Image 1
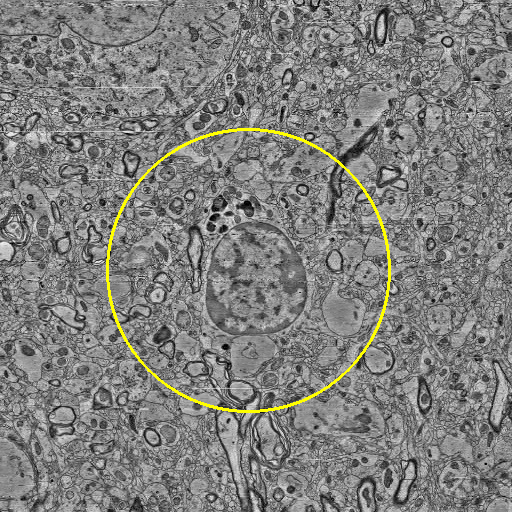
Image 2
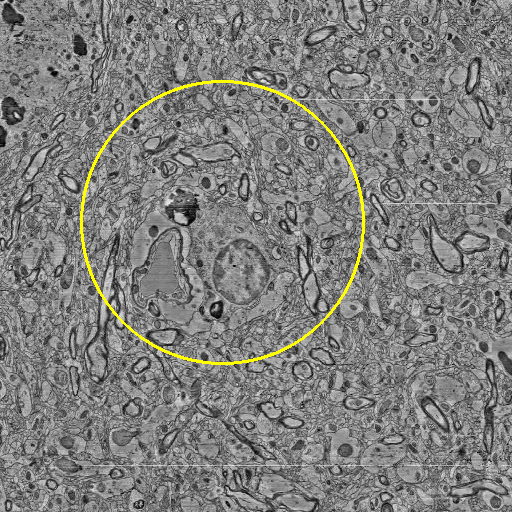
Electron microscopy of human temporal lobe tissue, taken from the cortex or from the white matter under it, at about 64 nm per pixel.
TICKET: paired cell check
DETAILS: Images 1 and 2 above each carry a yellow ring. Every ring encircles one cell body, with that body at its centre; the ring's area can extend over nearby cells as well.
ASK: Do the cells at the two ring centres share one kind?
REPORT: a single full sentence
No, the ring-centre cells of Images 1 and 2 belong to two kinds.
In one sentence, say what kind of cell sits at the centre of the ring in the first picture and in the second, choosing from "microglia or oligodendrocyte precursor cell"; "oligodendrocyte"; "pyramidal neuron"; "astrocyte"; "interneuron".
The first picture's ringed cell is a microglial cell or oligodendrocyte precursor cell, while the second picture's is an oligodendrocyte.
